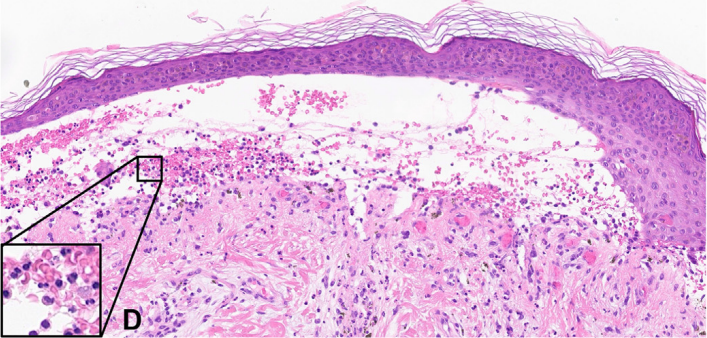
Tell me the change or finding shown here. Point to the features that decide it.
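Subepidermal blisters. The epidermis is lifted off the dermis as an intact sheet, leaving a cleft beneath it. The space under the epidermis holds red blood cells and scattered inflammatory cells.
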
